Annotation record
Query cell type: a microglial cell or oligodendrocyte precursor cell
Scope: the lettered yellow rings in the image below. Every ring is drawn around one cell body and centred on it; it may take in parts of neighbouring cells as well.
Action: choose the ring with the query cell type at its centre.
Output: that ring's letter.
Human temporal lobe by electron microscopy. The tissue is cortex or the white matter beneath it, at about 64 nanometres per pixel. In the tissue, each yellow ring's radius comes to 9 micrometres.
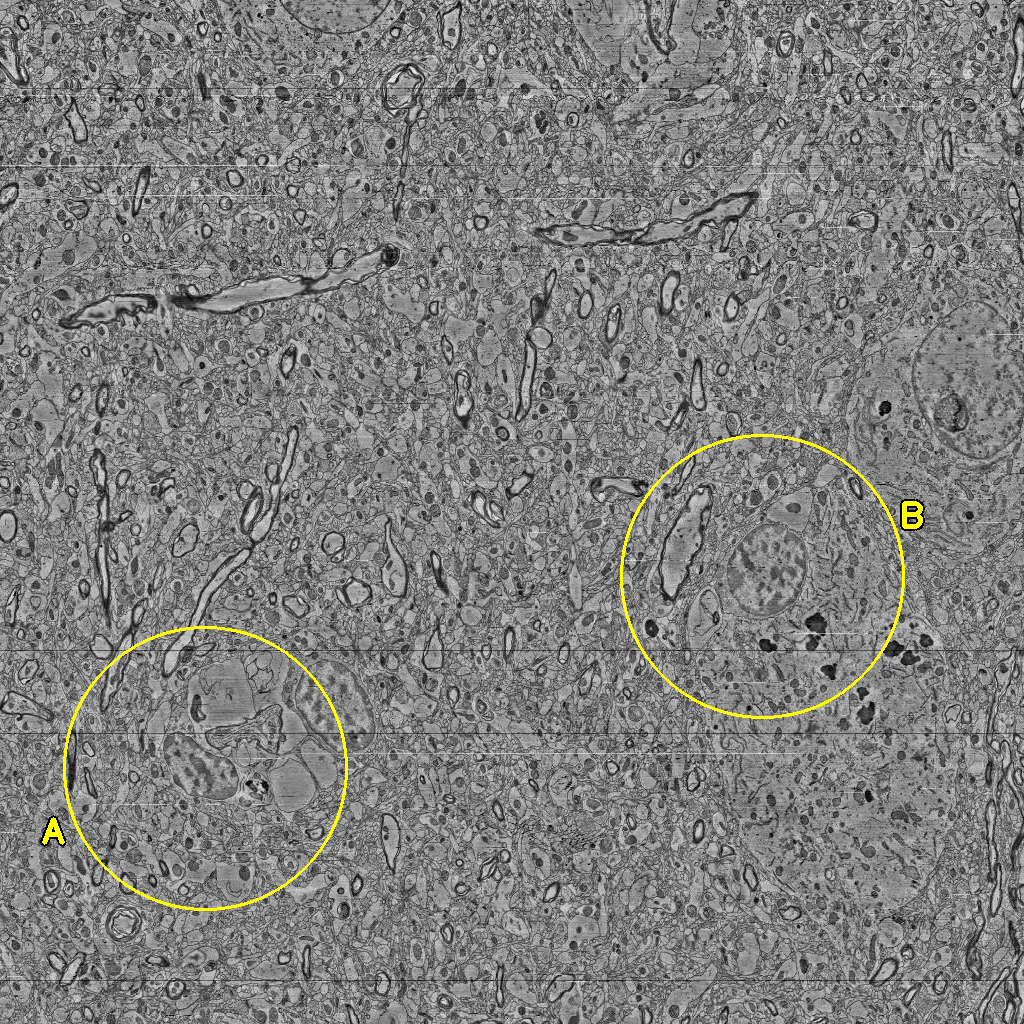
A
